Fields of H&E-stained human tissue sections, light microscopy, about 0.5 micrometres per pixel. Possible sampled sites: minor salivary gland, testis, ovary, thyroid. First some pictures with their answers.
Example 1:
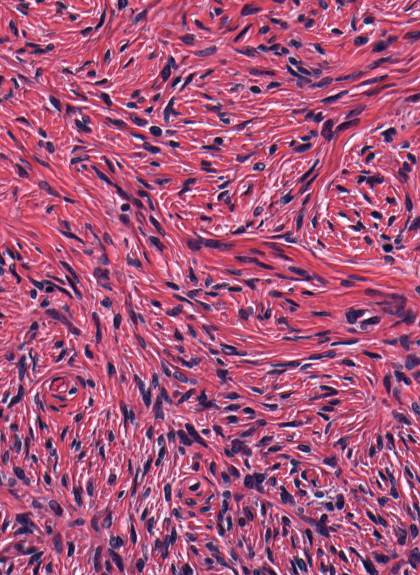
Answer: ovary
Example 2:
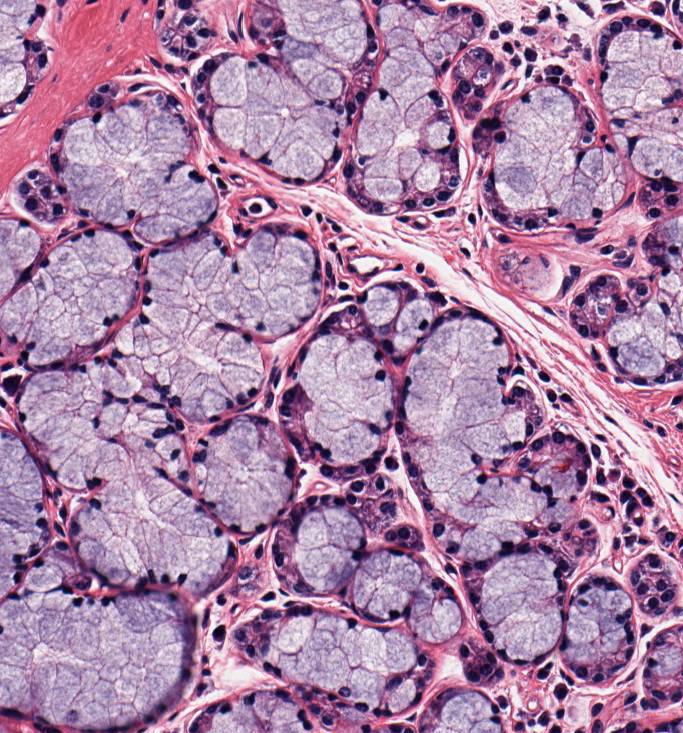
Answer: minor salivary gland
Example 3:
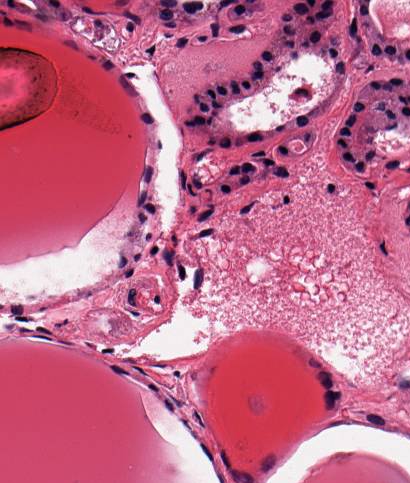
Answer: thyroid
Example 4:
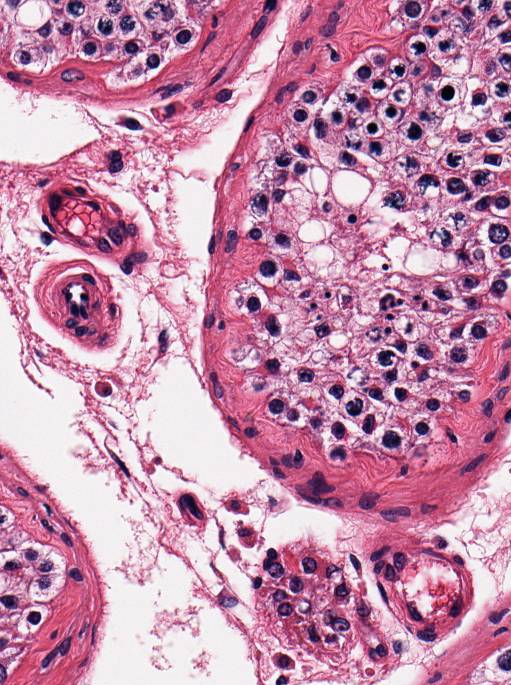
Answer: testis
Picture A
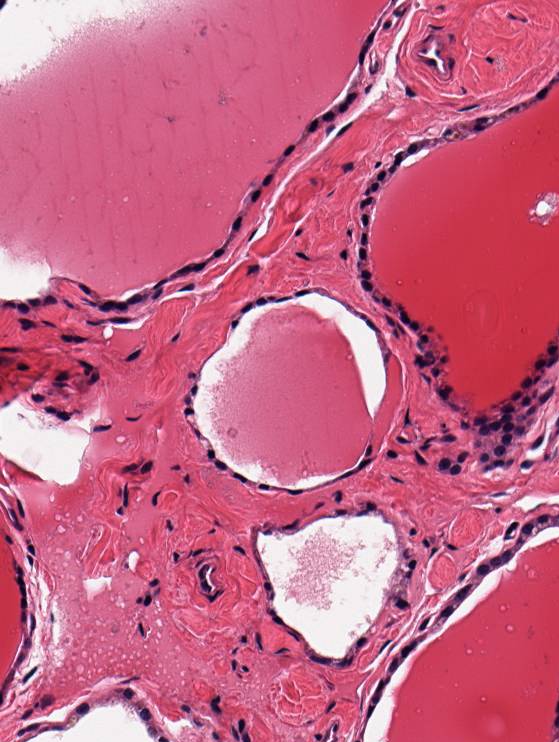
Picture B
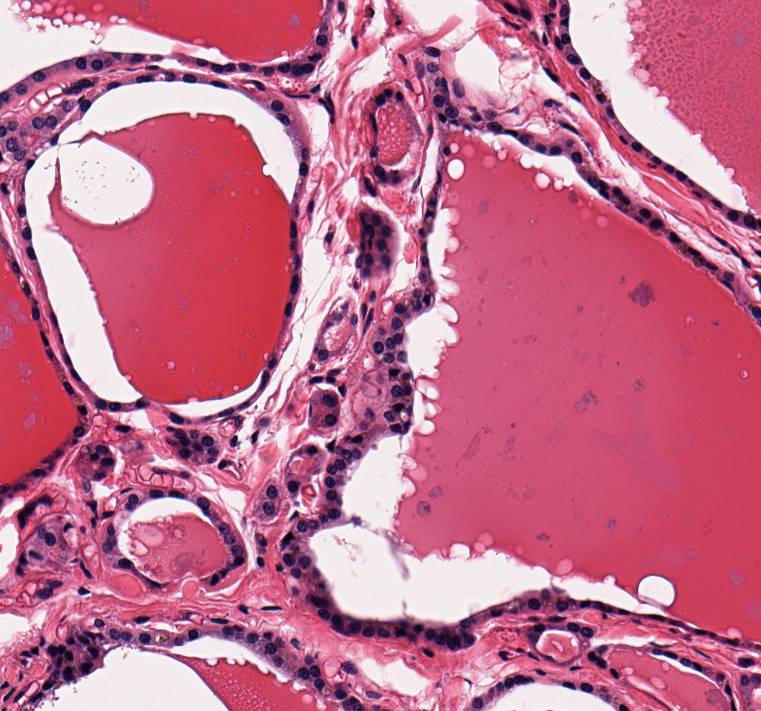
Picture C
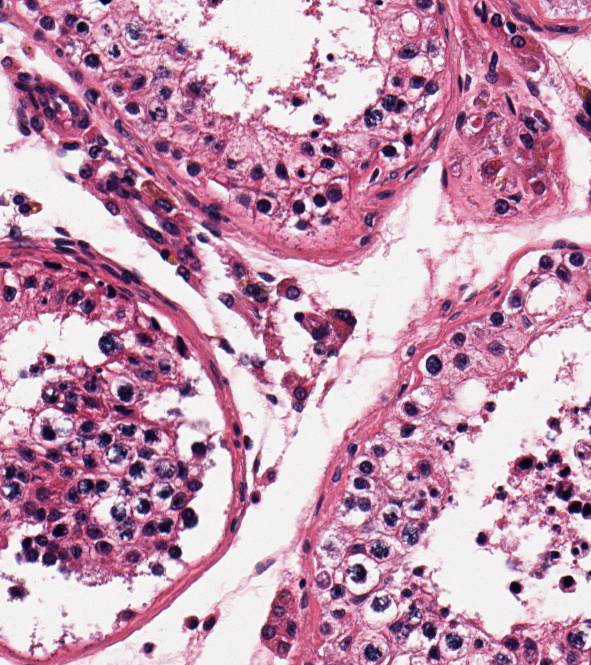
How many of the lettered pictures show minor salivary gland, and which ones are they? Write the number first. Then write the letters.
0, none of them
